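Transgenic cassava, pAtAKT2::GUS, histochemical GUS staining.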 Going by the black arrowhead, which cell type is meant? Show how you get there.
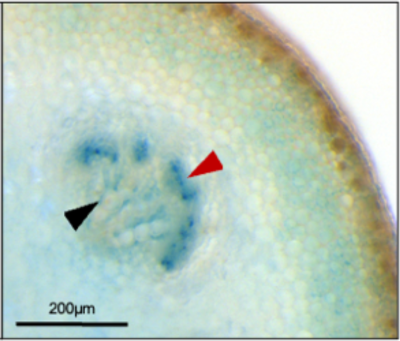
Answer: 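Xylem parenchyma cells. The black arrowhead points to blue-stained cells on the inner side of the vascular bundle.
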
